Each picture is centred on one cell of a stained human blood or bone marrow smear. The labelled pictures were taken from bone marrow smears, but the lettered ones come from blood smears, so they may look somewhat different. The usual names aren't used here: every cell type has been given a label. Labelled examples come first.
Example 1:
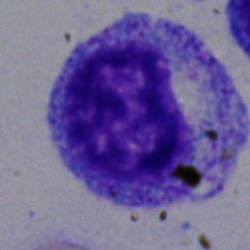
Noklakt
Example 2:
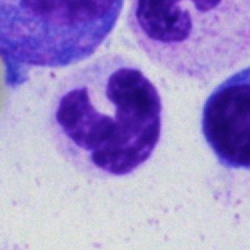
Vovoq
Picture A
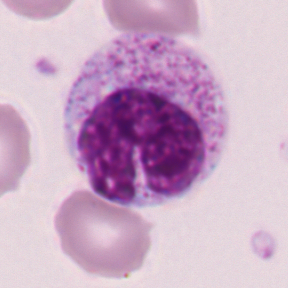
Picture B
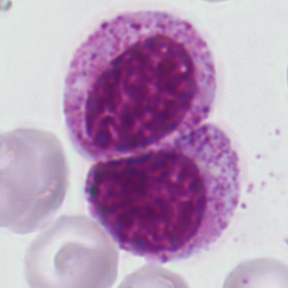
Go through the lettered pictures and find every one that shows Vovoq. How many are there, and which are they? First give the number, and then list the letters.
Count: 1 (A)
